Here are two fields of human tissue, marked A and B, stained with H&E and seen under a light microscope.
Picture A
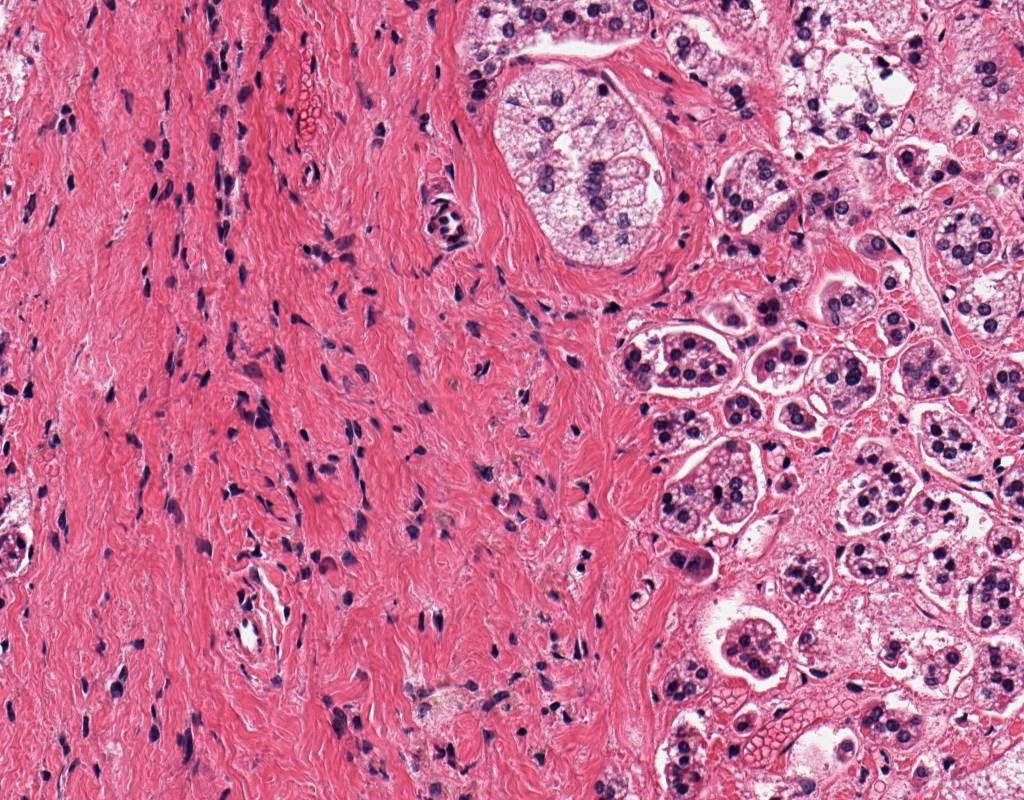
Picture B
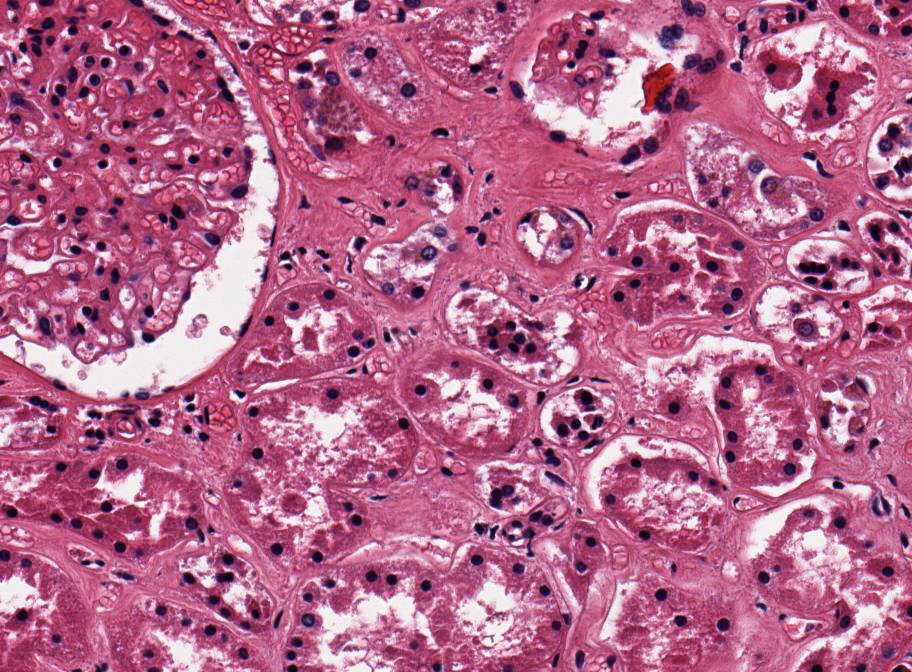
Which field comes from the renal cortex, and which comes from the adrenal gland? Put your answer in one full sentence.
Picture B comes from the renal cortex, while picture A comes from the adrenal gland.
